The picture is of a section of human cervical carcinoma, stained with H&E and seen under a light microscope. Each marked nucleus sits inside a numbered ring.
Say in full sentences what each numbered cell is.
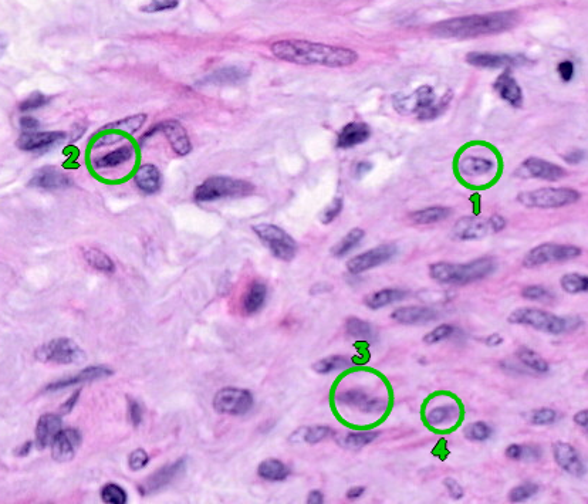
Cell 1 is a smooth muscle cell, cell 2 is an endothelial cell, cell 3 is a smooth muscle cell and cell 4 is a smooth muscle cell.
